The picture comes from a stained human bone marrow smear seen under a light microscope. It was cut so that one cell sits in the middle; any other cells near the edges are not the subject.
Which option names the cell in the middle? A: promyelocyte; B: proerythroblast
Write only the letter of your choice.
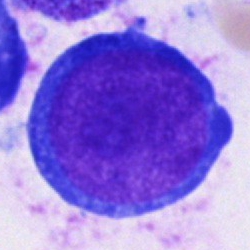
B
